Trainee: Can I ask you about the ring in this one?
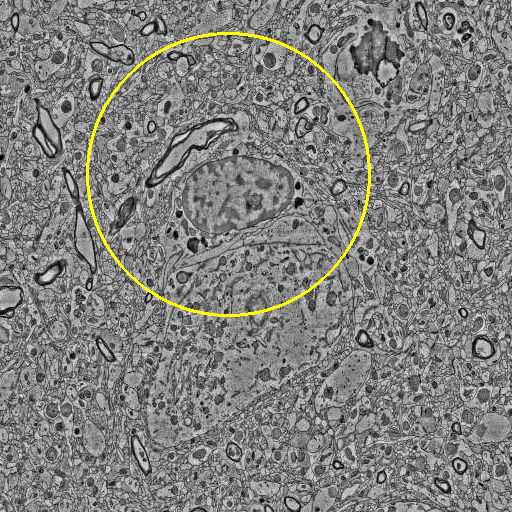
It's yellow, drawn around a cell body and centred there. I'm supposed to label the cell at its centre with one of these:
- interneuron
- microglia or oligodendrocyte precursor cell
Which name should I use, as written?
microglia or oligodendrocyte precursor cell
